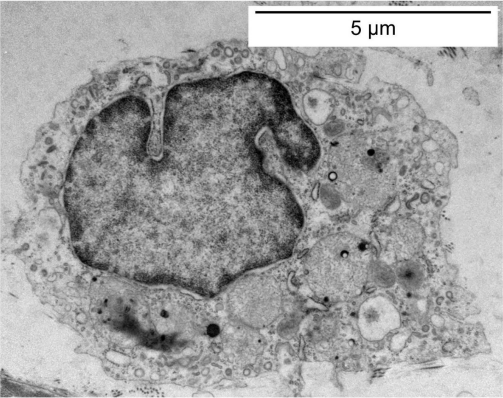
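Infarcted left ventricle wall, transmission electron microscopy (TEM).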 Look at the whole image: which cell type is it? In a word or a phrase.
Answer: immune cell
